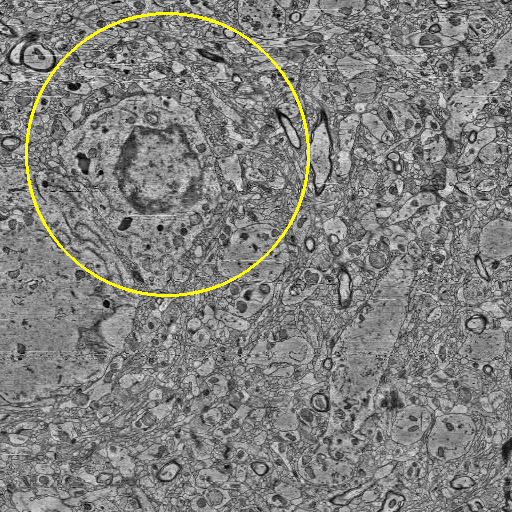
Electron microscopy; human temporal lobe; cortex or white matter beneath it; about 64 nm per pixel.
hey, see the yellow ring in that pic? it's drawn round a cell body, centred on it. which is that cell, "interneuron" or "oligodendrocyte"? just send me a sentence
The cell in the ring is an interneuron.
